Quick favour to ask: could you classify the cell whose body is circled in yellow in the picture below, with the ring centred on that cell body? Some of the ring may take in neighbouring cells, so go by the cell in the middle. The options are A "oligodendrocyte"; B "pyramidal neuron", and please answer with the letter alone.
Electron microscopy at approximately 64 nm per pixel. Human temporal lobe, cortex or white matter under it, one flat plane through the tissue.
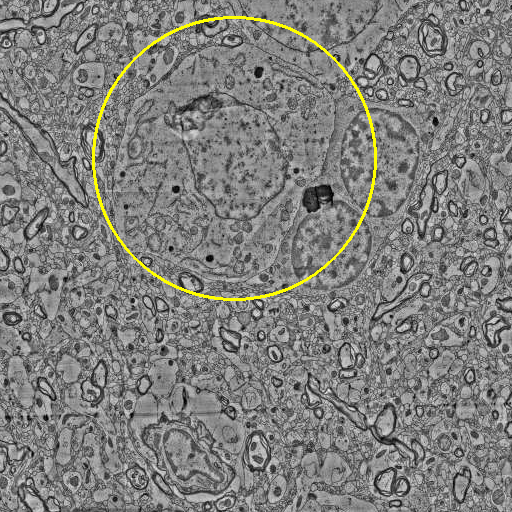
B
